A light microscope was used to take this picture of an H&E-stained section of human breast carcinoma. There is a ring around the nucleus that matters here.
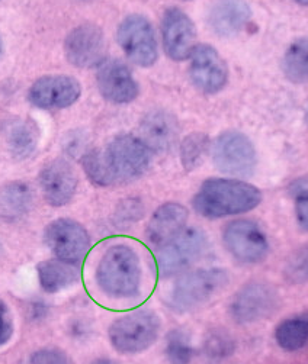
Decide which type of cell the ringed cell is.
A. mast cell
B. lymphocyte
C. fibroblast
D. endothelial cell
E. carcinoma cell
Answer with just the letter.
E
